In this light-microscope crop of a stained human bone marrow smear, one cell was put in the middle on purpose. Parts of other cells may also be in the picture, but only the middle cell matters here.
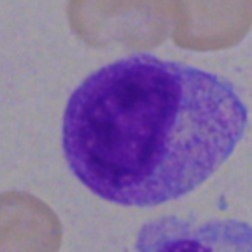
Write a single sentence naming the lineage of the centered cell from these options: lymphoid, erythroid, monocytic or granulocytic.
The centered cell should be recorded as belonging to the granulocytic lineage.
